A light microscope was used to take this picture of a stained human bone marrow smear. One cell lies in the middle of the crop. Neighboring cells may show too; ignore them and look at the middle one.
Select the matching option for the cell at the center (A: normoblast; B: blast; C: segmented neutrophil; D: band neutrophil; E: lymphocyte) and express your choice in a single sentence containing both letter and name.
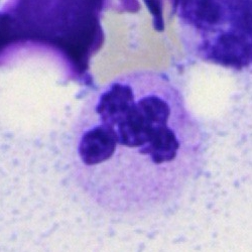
In the centre of the crop there is a segmented neutrophil, making option C correct.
